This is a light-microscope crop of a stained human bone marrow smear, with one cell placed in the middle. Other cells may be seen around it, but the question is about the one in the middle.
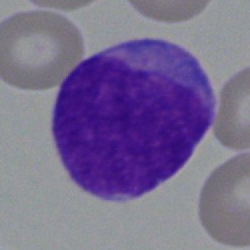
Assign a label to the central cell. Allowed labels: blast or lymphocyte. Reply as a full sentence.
Here the centrally located cell is a blast.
